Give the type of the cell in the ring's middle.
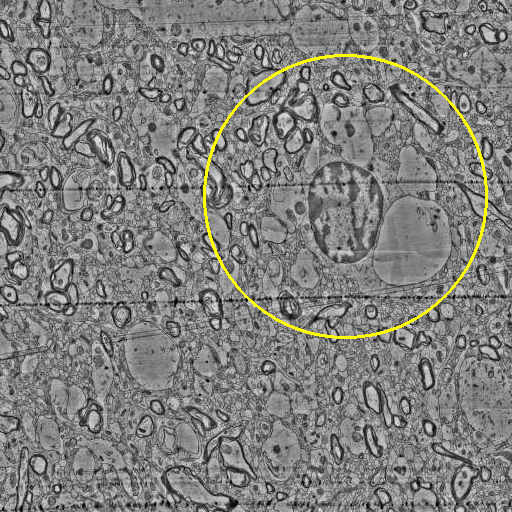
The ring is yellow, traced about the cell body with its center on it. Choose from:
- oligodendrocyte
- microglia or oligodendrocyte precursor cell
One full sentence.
Here, a microglial cell or oligodendrocyte precursor cell is the cell lying at the center of the yellow ring.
